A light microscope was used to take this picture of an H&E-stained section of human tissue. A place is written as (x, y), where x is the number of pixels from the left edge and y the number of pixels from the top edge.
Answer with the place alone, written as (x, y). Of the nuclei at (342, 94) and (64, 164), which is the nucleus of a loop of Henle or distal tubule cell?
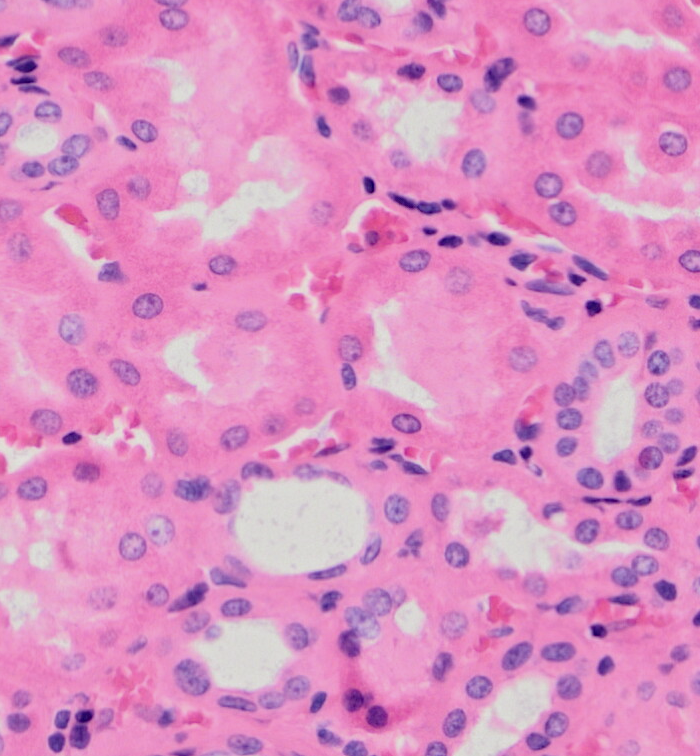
(342, 94)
